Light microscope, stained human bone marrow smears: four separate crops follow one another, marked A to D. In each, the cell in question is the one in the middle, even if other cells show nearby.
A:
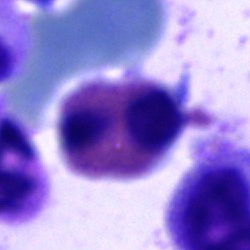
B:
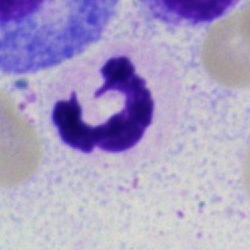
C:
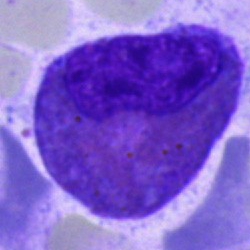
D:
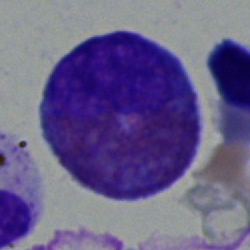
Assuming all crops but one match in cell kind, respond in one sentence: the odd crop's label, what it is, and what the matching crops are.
The exception is crop B: it is a segmented neutrophil, and the others are all eosinophils.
